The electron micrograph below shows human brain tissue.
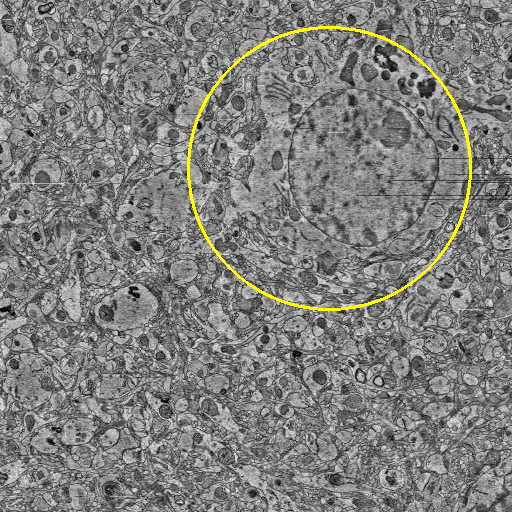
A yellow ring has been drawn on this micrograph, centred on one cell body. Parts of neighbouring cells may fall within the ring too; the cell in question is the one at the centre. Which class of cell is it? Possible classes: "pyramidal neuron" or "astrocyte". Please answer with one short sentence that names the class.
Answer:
In the centre of the ring sits an astrocyte.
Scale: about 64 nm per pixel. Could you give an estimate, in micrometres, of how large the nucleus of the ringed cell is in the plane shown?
Roughly 10 micrometers across, in this plane.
